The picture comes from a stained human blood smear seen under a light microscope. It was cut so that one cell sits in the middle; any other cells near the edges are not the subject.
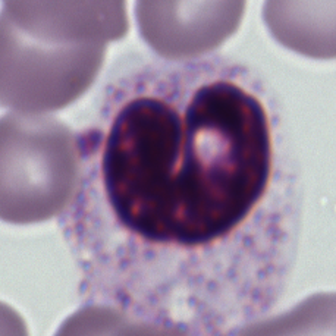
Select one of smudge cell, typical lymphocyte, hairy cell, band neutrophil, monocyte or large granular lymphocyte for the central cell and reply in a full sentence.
For this crop, the cell in the middle is a band neutrophil.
